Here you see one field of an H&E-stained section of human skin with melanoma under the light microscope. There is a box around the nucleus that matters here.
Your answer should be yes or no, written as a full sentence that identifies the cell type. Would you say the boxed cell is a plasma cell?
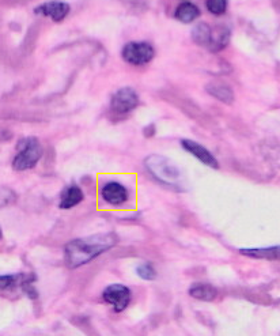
Yes, in this field of view, the boxed cell is a plasma cell.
